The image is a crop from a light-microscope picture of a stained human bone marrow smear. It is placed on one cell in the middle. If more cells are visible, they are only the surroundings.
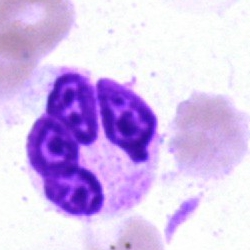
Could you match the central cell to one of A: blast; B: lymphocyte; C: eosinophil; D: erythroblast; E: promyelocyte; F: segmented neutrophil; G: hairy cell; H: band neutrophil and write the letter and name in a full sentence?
Option F is the right choice, the central cell being a segmented neutrophil.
